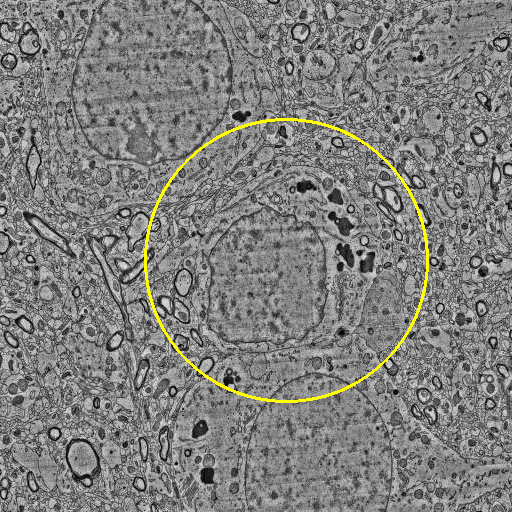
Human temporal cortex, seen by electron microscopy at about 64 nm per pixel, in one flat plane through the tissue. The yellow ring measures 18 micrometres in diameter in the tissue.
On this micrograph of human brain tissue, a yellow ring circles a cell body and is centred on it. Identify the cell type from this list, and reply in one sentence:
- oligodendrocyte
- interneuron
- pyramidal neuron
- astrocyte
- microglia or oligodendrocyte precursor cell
The cell at the centre is an interneuron.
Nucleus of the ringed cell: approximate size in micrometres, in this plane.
Approximately 9 micrometers across in this plane.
